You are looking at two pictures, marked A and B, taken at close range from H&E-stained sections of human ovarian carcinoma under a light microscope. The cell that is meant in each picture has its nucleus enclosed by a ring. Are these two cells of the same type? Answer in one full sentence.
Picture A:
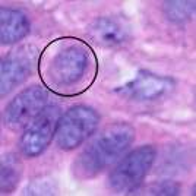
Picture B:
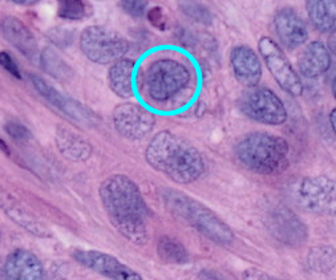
Yes, both are carcinoma cells.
